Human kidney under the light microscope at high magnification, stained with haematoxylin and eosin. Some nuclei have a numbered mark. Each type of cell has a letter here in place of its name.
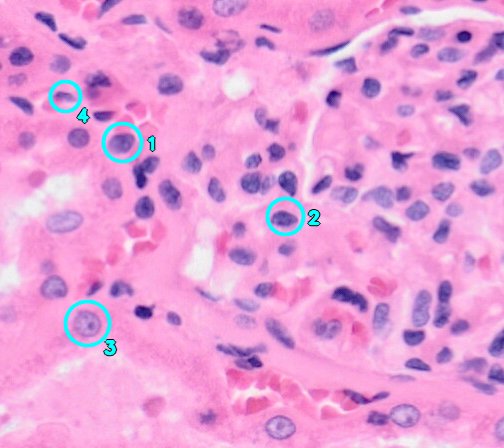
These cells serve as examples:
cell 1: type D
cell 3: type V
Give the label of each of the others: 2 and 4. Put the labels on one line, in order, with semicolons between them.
type D; type D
